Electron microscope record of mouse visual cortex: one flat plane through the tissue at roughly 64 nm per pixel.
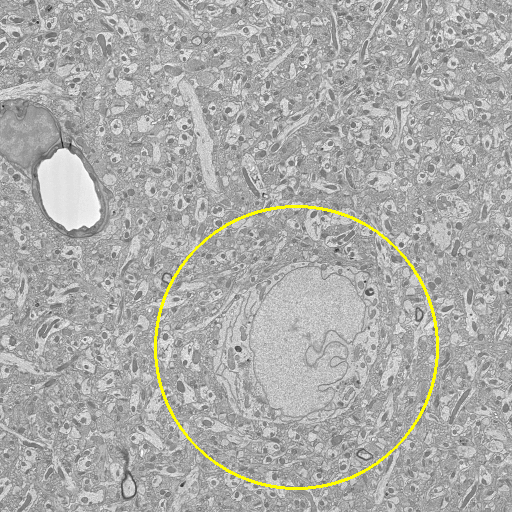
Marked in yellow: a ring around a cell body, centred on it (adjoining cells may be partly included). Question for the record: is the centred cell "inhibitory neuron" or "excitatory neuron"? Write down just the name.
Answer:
inhibitory neuron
